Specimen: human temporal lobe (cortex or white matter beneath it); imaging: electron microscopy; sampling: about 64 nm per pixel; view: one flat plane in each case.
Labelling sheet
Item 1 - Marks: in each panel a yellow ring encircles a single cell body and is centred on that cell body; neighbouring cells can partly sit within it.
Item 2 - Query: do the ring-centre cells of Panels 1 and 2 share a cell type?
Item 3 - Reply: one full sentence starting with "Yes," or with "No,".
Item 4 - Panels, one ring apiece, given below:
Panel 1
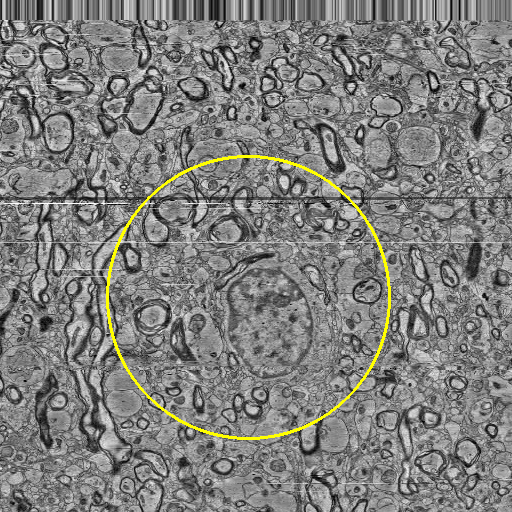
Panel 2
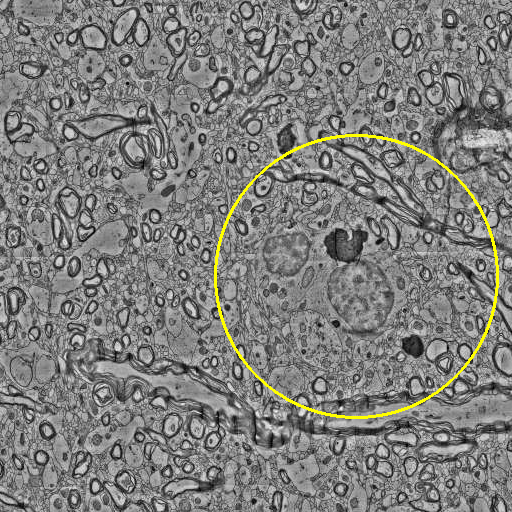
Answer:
Yes, Panel 1 and Panel 2 show one cell type at the centres of their rings.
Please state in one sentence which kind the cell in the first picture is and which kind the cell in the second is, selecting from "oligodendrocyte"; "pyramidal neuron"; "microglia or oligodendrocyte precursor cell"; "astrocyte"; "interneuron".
In both pictures the ring is centred on an oligodendrocyte.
